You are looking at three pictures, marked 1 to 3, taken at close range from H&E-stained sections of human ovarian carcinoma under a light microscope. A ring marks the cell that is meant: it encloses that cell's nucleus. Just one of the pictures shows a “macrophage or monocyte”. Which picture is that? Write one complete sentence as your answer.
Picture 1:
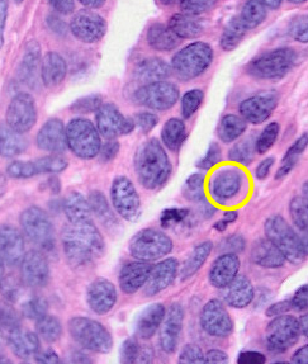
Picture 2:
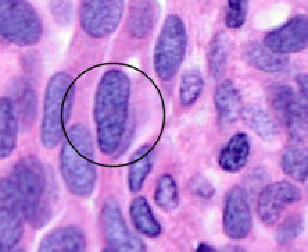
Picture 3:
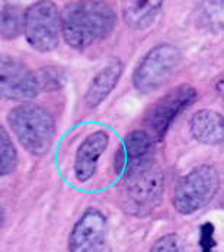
It is picture 3 that shows the “macrophage or monocyte”.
